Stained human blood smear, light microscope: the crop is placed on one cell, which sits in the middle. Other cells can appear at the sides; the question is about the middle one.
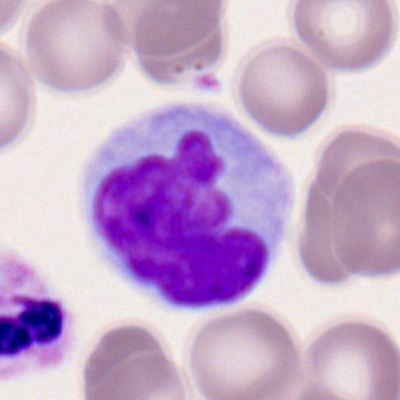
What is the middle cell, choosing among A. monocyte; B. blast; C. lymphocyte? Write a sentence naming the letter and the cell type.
Option A is the right one, for the cell in the middle is a monocyte.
